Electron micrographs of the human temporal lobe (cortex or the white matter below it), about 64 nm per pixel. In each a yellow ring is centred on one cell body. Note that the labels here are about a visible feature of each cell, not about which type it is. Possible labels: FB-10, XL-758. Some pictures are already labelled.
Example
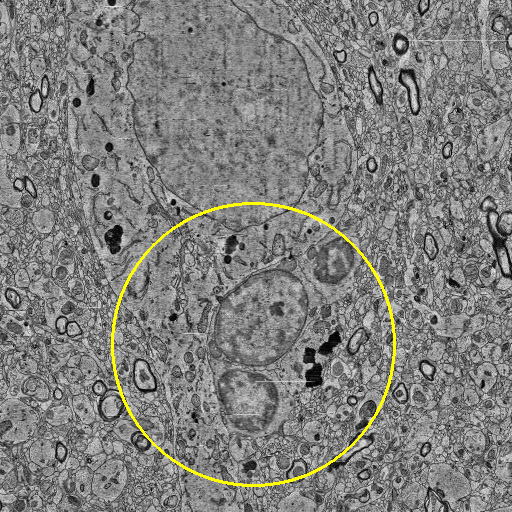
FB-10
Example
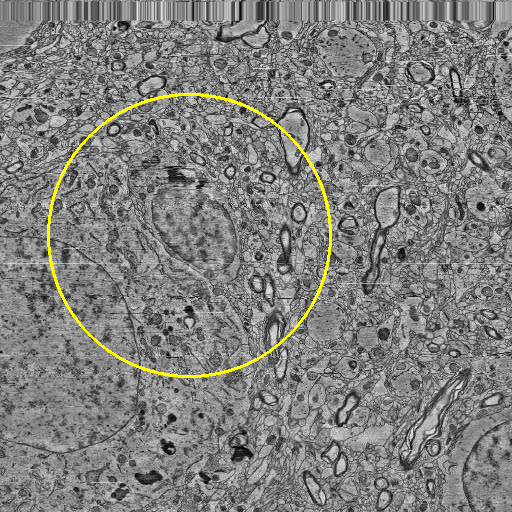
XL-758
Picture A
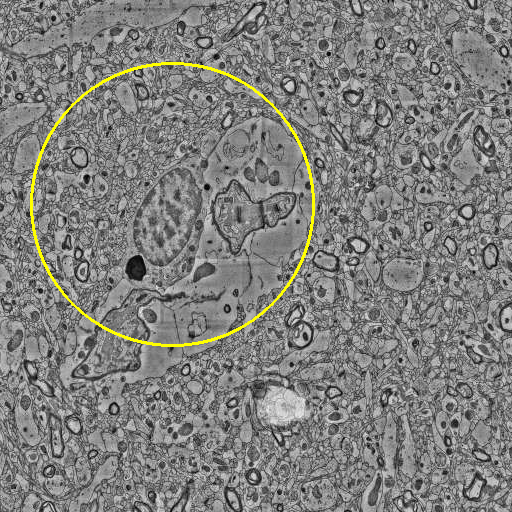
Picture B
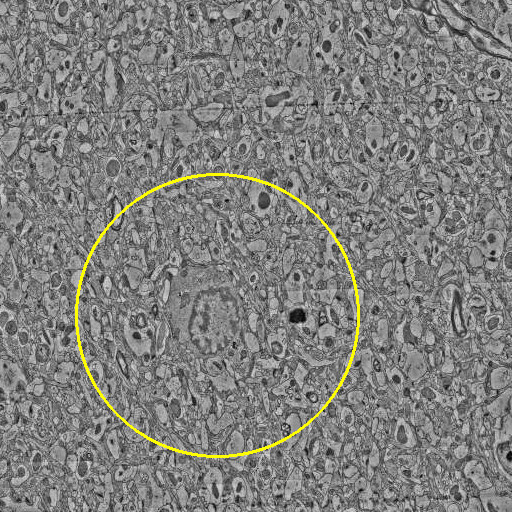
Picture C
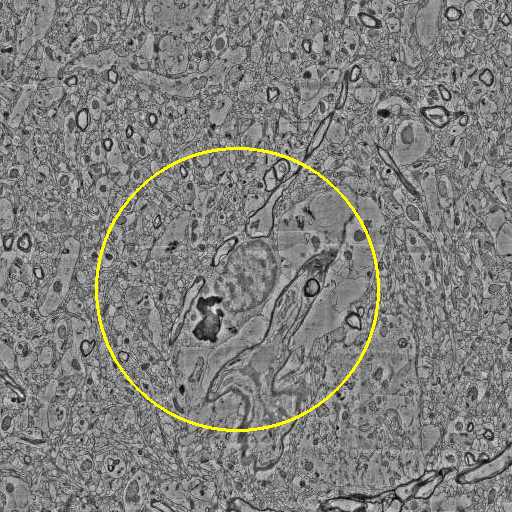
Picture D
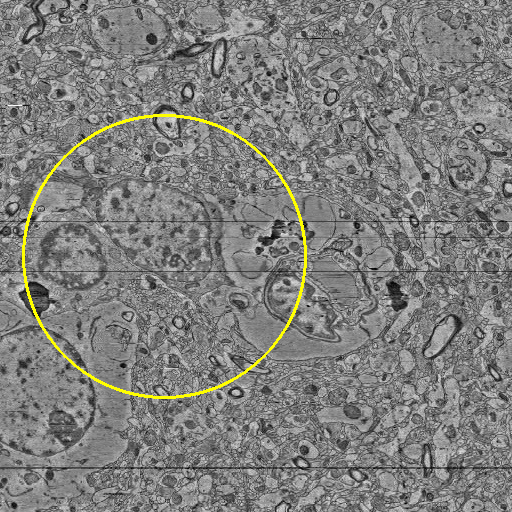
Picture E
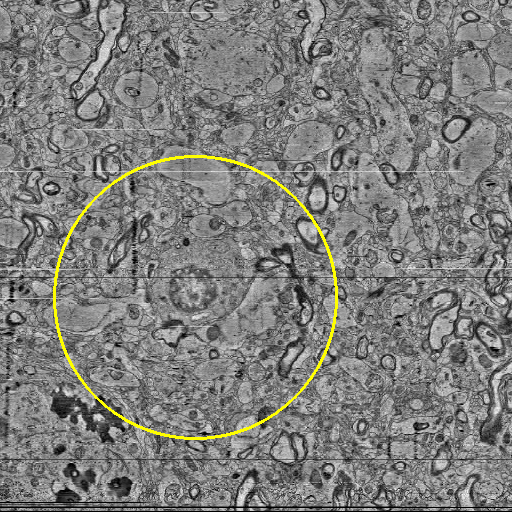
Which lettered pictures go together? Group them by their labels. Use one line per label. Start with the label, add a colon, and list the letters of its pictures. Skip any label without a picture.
FB-10: B, C, D, E
XL-758: A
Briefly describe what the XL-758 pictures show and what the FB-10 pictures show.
XL-758: clearly elongated nuclei; FB-10: round or nearly round nuclei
